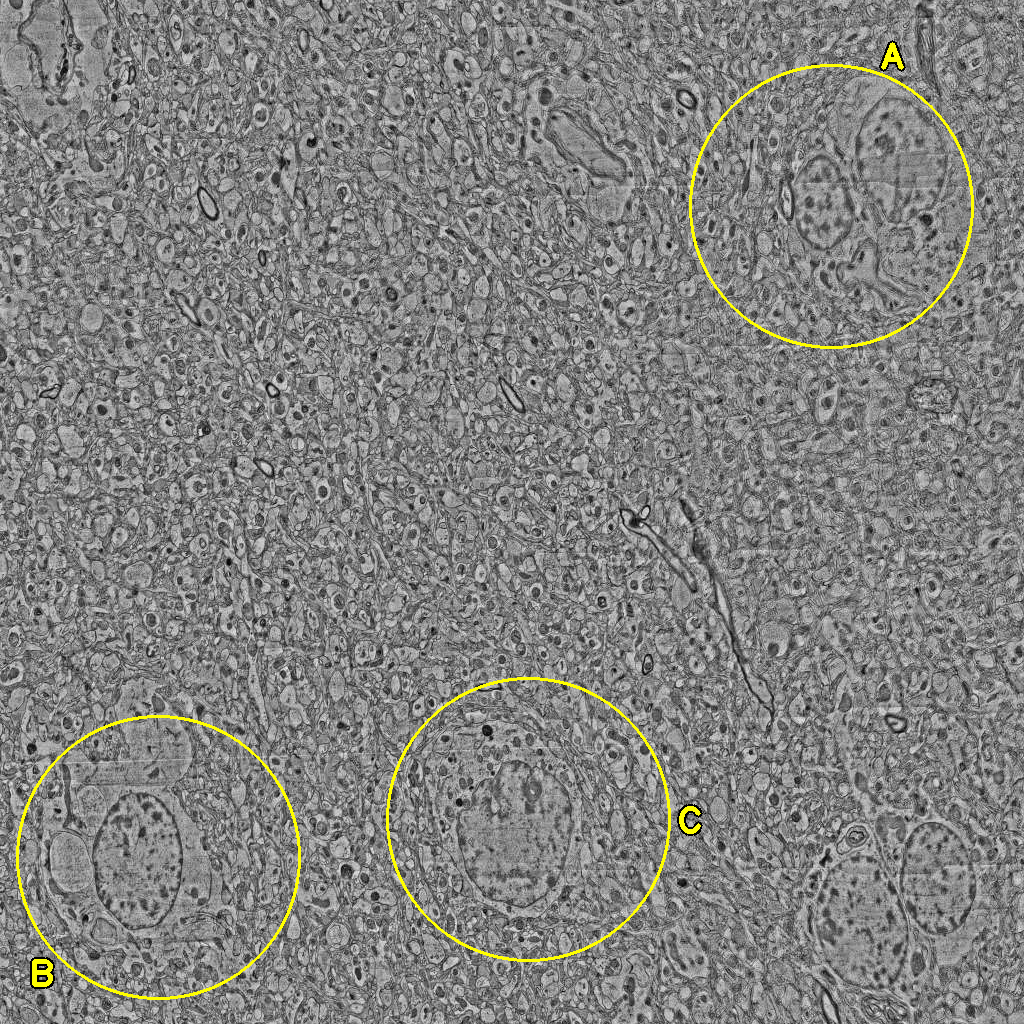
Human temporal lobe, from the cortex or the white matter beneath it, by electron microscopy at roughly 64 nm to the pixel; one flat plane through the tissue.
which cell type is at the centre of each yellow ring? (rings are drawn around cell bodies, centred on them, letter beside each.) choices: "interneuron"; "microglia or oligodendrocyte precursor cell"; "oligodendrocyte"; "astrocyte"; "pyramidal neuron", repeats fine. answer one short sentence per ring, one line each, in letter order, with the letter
Ring A is an oligodendrocyte.
Ring B is an astrocyte.
Ring C is an interneuron.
